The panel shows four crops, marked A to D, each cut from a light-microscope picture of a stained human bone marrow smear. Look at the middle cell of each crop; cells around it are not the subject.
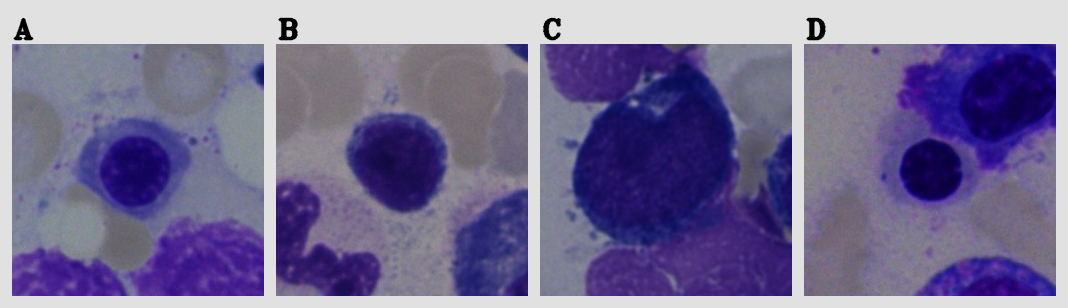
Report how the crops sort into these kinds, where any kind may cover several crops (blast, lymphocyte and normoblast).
A: normoblast
B: lymphocyte
C: blast
D: normoblast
